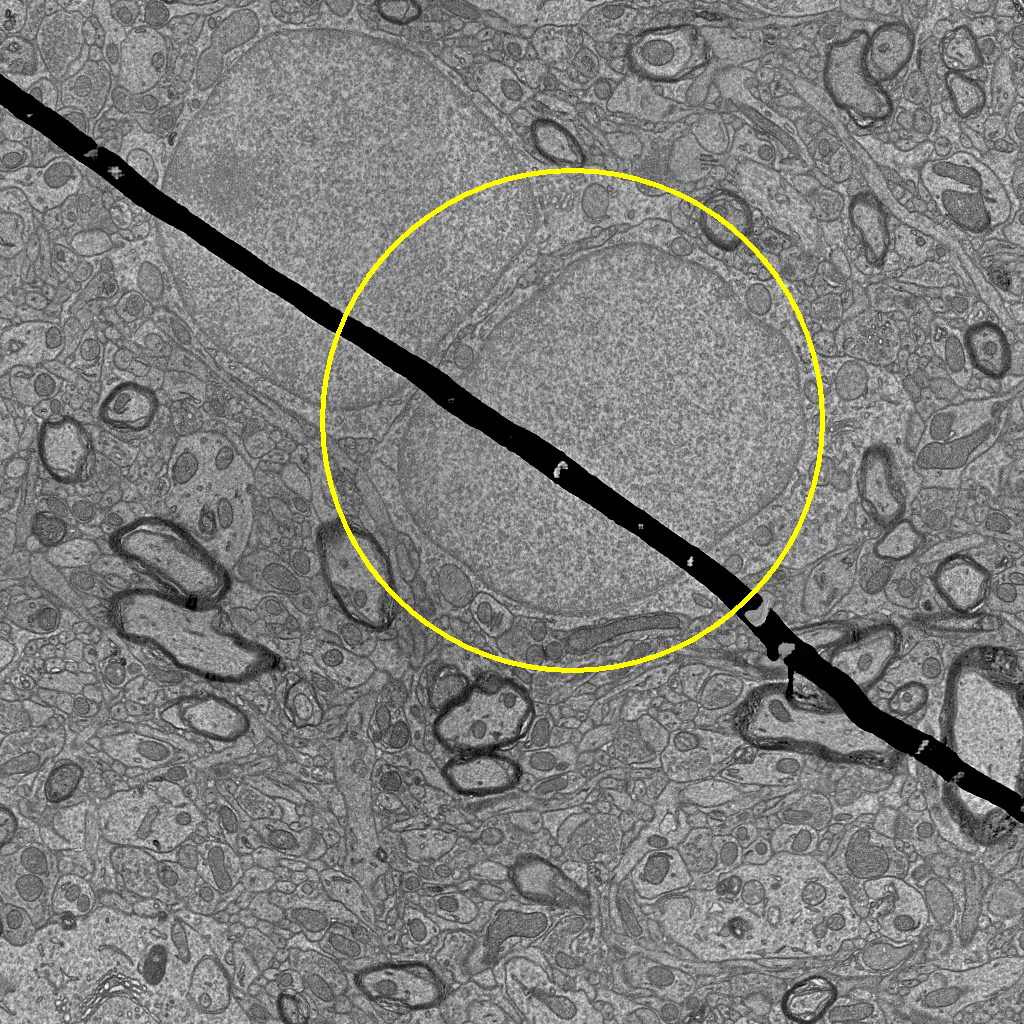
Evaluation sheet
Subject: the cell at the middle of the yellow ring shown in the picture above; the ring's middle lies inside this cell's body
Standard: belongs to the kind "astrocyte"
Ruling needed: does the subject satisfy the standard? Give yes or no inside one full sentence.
Yes, the cell at the middle of the ring in the picture above belongs to the stated kind.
